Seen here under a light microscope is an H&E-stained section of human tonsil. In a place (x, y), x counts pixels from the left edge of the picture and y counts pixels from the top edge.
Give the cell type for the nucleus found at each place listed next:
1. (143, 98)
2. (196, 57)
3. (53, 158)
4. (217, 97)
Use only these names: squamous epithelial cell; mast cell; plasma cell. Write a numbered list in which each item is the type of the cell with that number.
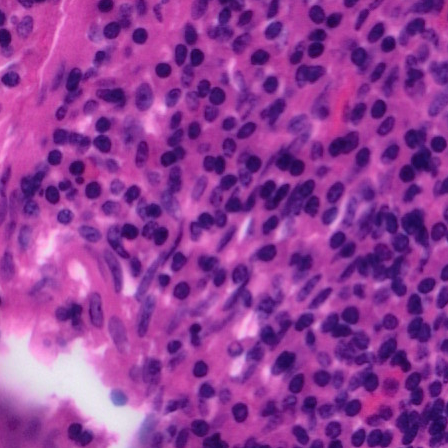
1. squamous epithelial cell
2. plasma cell
3. plasma cell
4. plasma cell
